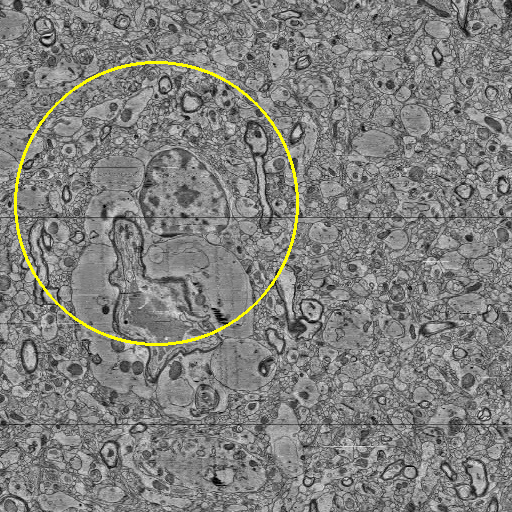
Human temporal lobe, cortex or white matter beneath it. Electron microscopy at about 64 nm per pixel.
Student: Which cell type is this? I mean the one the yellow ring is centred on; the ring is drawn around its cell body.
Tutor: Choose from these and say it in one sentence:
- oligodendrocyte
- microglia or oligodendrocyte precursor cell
The cell the ring is centred on is a microglial cell or oligodendrocyte precursor cell.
